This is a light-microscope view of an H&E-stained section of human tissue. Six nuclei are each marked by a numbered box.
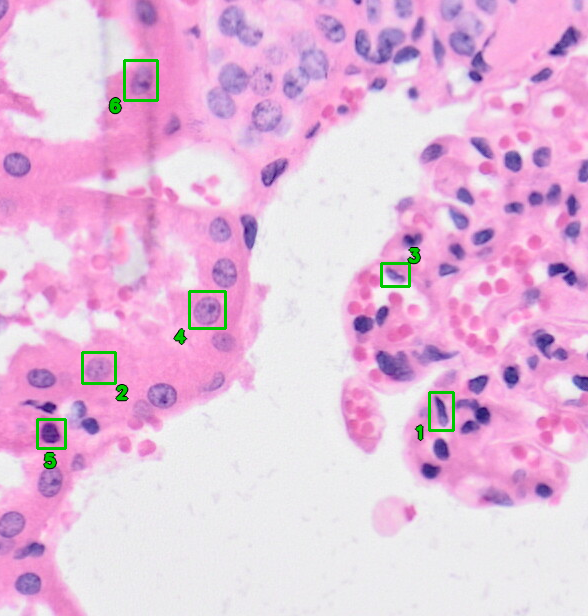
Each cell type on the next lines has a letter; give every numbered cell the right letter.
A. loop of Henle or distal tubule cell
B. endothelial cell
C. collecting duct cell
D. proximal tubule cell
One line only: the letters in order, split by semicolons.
B; D; B; D; D; D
